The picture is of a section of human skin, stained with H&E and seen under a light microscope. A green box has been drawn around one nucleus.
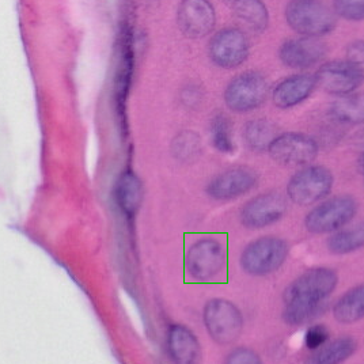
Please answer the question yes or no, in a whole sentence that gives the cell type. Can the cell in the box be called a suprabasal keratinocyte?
Yes, the cell in the box in this field is a suprabasal keratinocyte.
